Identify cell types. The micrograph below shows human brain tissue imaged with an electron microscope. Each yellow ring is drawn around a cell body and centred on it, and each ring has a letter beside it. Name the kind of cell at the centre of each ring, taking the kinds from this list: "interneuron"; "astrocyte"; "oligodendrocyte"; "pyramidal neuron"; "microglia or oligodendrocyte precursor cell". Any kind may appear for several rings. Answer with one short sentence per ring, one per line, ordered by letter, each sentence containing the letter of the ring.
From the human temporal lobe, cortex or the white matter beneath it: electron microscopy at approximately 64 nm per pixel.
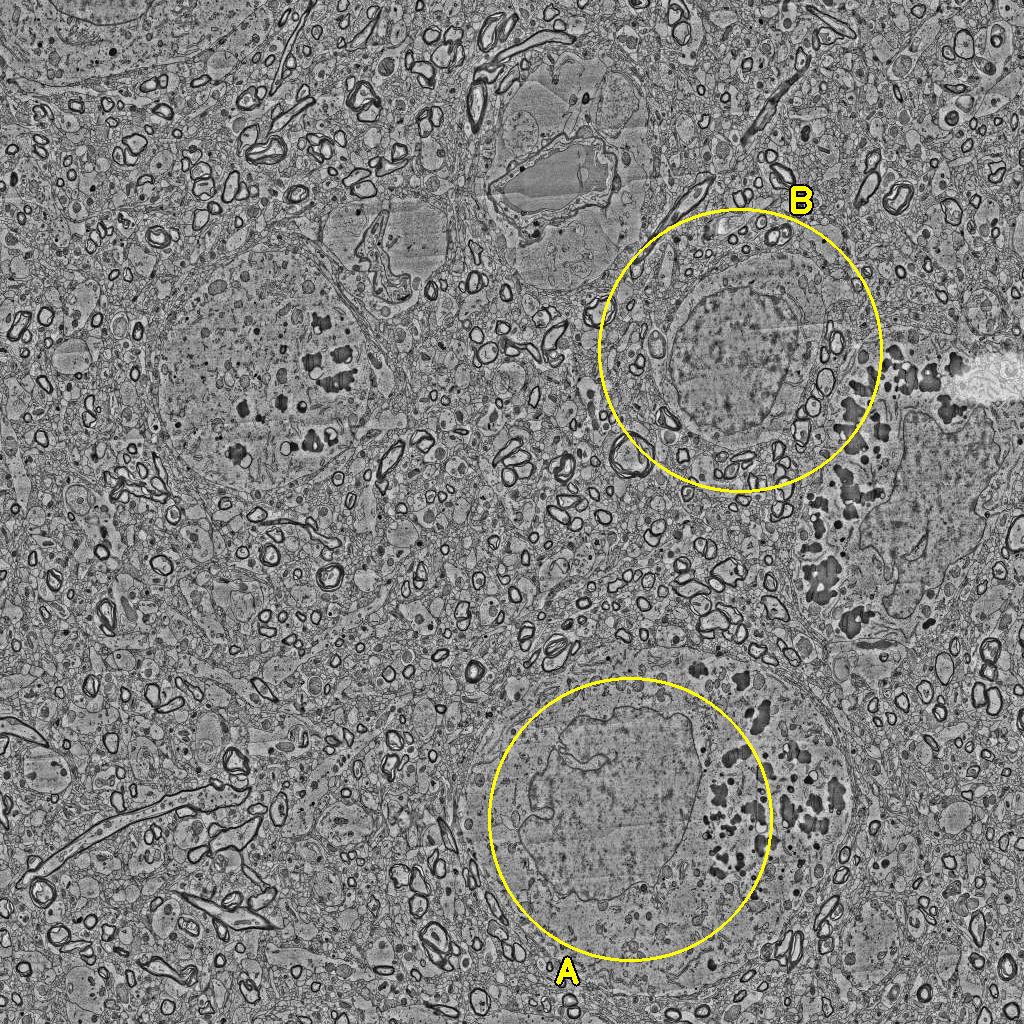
Ring A marks a pyramidal neuron.
Ring B marks an interneuron.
